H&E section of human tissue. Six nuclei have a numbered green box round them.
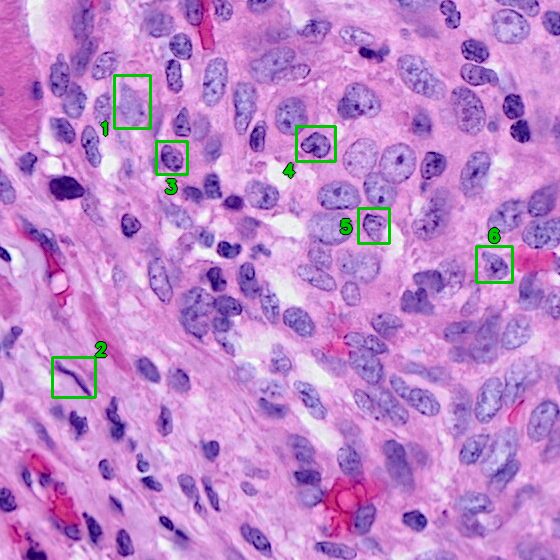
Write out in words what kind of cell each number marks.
Cells 1 and 2 are fibroblasts. Cells 3, 4, 5 and 6 are macrophages or monocytes.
